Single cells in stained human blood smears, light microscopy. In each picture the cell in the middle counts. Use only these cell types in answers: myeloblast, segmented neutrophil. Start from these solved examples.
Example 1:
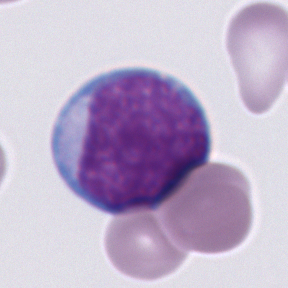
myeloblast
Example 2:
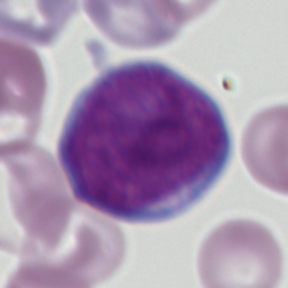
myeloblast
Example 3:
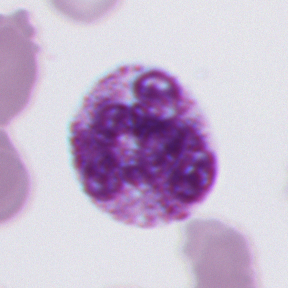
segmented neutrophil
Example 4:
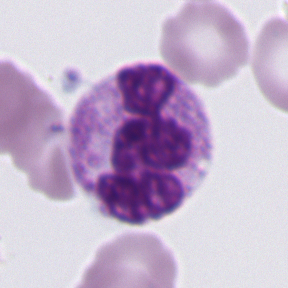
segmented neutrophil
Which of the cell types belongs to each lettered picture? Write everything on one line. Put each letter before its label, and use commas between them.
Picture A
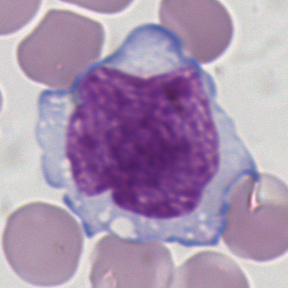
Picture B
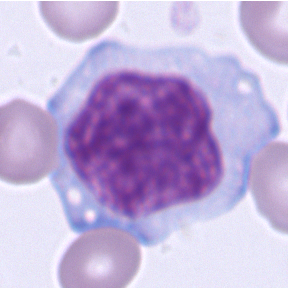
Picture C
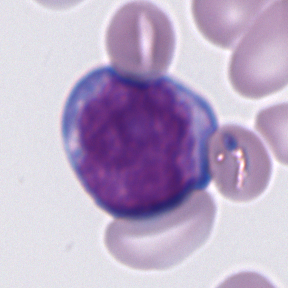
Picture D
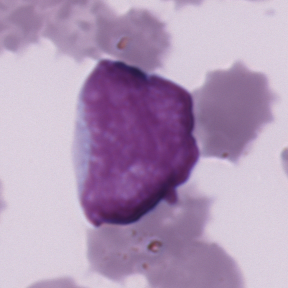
A myeloblast, B myeloblast, C myeloblast, D myeloblast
